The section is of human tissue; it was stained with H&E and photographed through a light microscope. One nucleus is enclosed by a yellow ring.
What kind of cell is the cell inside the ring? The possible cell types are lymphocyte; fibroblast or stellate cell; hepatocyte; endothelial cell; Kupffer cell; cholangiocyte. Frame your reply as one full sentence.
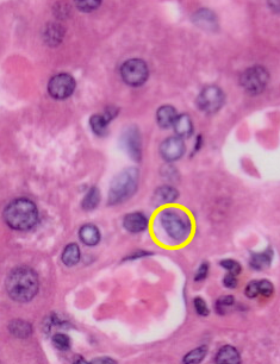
By cell type, the cell inside the ring is a cholangiocyte.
